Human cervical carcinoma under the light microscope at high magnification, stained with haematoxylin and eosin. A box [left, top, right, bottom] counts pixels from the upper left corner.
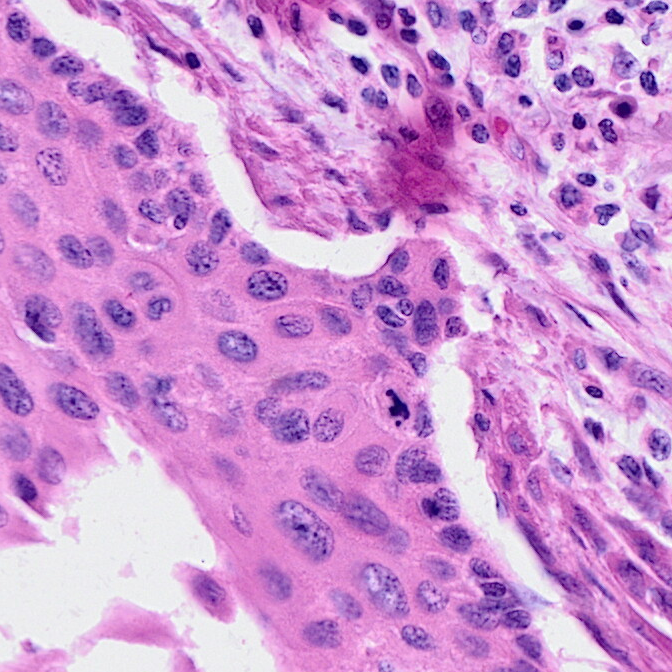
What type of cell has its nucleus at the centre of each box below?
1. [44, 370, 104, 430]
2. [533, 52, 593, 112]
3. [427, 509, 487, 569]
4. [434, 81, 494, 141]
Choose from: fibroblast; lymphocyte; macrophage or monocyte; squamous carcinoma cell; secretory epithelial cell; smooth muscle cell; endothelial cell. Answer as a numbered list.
1. squamous carcinoma cell
2. lymphocyte
3. squamous carcinoma cell
4. lymphocyte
